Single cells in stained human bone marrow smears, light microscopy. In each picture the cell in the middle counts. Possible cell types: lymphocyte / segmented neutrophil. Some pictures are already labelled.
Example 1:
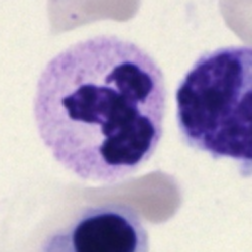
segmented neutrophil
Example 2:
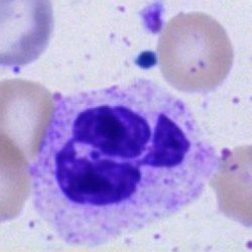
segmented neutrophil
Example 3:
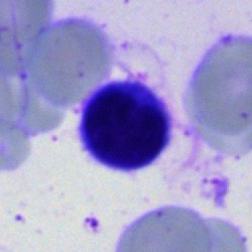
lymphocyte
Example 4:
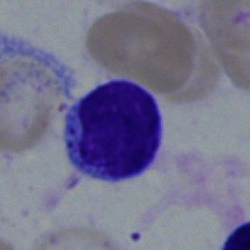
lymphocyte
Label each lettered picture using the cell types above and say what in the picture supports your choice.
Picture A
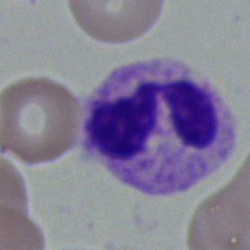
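segmented neutrophil: The cytoplasm is plentiful and pale lilac.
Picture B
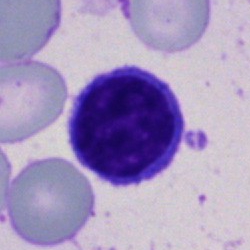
lymphocyte: The nucleus fills almost the whole cell.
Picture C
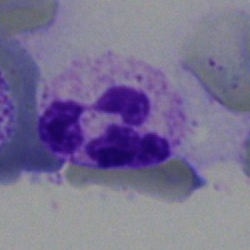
segmented neutrophil: The cytoplasm is abundant and pale pinkish-lilac.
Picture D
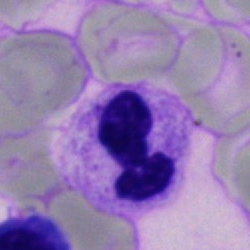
segmented neutrophil: The cytoplasm is plentiful and pale lilac.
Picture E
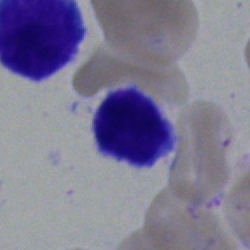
lymphocyte: Hardly any separate cytoplasm can be seen around the dark-staining mass.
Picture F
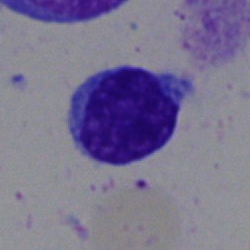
lymphocyte: The cytoplasm is scant, forming only a thin rim around the nucleus.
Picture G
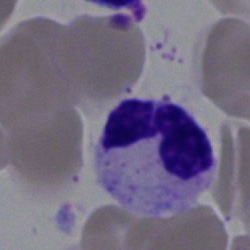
segmented neutrophil: The cytoplasm is plentiful and pale lilac-grey.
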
